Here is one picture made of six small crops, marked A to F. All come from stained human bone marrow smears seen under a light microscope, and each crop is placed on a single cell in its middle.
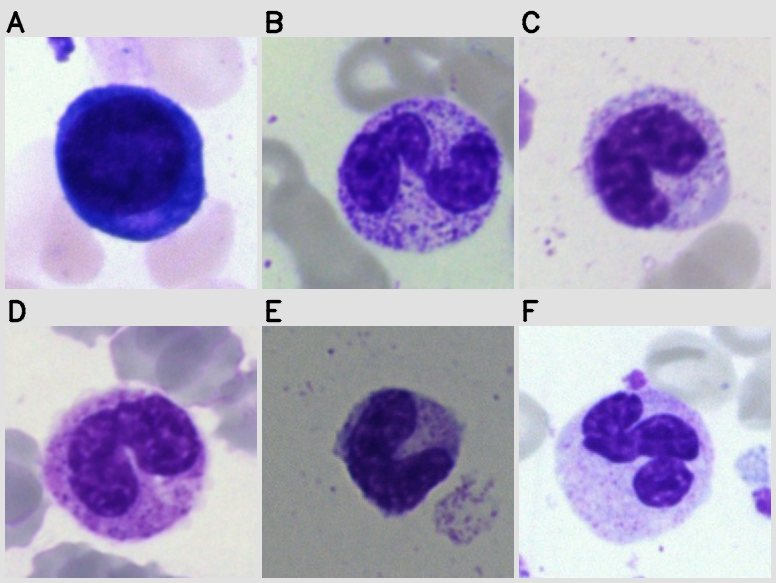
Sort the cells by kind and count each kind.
band neutrophil: 3
segmented neutrophil: 2
proerythroblast: 1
